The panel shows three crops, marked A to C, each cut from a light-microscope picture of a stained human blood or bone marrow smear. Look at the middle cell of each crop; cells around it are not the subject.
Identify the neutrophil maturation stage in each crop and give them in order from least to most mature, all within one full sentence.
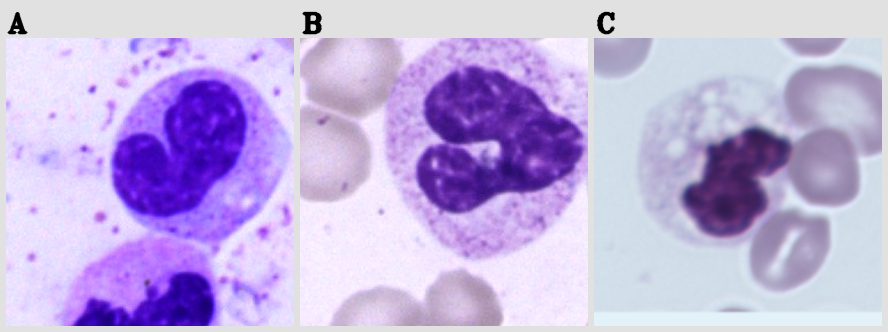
From the least mature to the most mature, the sequence runs crop A (a metamyelocyte), crop B (a band neutrophil) and crop C (a segmented neutrophil).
